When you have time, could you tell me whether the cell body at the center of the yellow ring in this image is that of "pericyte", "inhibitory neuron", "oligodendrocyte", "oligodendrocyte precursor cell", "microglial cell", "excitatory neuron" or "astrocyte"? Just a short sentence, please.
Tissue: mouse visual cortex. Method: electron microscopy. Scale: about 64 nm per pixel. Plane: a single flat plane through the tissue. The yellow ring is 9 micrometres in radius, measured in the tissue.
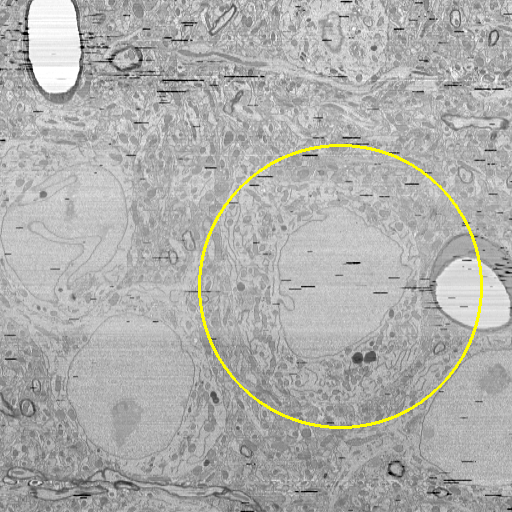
The cell body at the center of the ring is that of an inhibitory neuron.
